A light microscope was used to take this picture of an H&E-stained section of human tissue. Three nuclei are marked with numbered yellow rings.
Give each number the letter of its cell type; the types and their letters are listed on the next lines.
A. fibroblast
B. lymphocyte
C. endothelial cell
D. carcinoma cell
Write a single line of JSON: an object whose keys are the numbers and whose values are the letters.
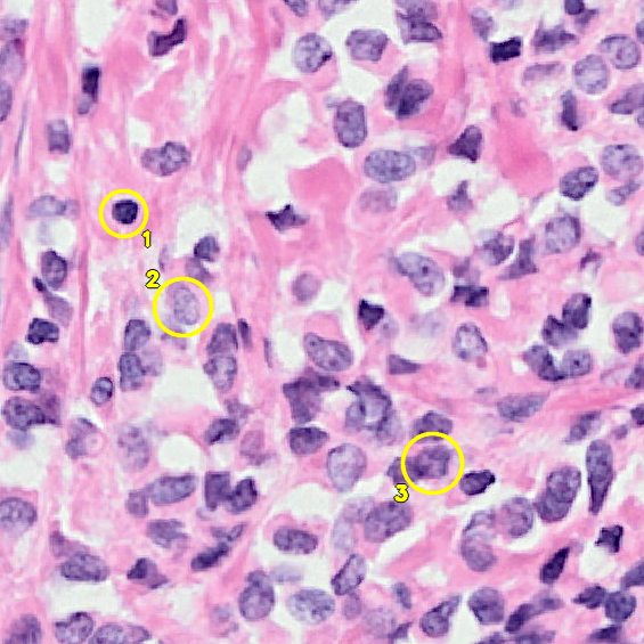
{"1": "B", "2": "D", "3": "D"}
